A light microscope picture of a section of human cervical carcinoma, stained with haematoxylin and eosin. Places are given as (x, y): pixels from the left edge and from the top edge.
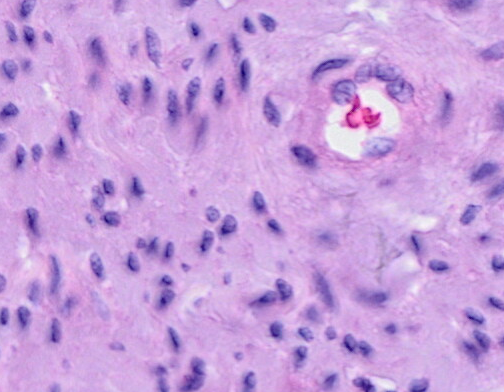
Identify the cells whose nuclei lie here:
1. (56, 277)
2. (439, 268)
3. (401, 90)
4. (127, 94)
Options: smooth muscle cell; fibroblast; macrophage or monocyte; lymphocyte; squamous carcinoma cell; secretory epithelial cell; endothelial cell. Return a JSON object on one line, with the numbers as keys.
{"1": "fibroblast", "2": "fibroblast", "3": "endothelial cell", "4": "fibroblast"}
